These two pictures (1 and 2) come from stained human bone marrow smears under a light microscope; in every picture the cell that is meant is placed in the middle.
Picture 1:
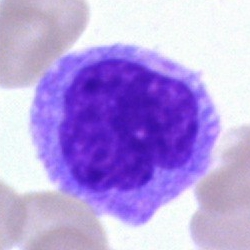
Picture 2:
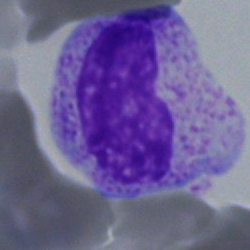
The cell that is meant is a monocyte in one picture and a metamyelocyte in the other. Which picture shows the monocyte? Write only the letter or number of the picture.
1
